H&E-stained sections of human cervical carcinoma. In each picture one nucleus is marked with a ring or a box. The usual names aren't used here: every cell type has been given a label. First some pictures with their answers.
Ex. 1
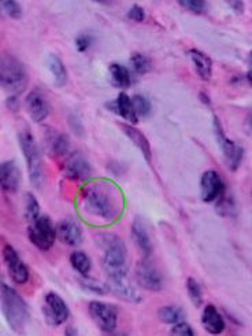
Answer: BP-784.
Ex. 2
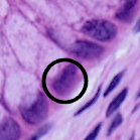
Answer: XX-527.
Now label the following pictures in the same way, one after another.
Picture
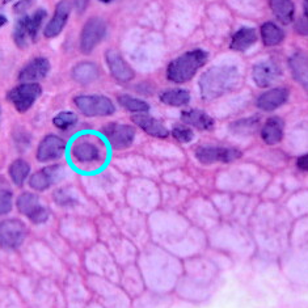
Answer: XX-527.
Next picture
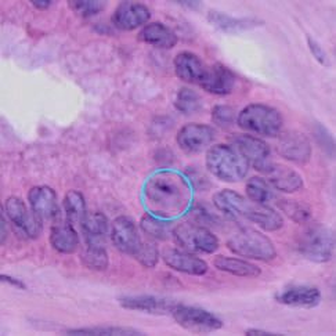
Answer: XX-527.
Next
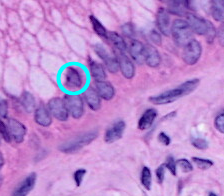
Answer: XX-527.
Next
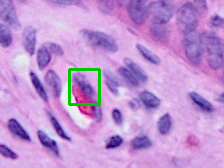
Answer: BP-784.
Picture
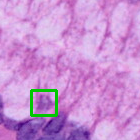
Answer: XX-527.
